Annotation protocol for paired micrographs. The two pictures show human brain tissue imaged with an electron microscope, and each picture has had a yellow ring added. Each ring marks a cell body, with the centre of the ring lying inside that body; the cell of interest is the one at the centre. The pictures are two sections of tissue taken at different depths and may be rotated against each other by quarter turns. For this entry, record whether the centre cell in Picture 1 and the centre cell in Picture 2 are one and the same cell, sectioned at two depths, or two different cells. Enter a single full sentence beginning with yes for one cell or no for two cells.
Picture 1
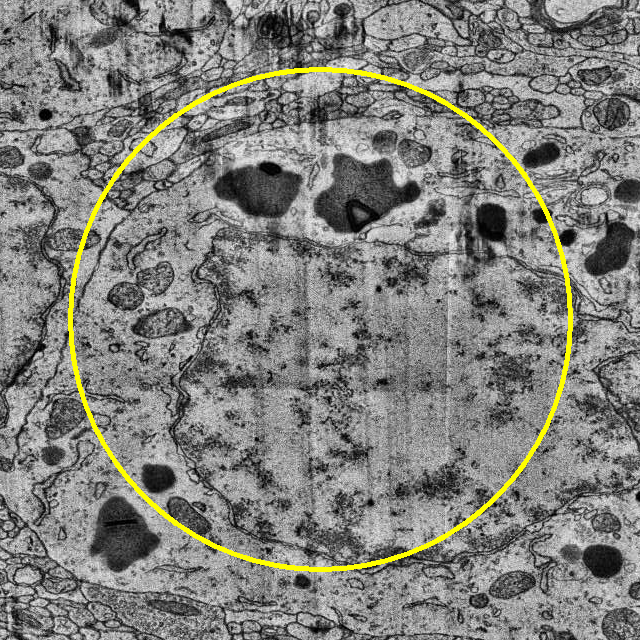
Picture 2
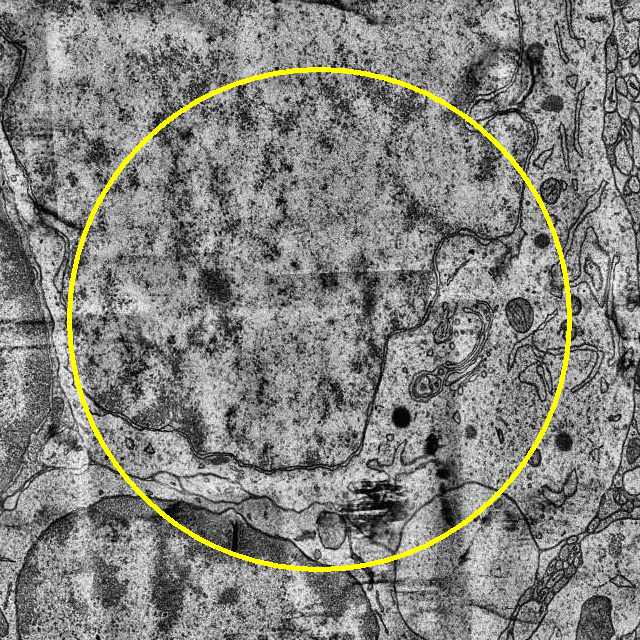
No, the two circled cells are distinct from one another.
